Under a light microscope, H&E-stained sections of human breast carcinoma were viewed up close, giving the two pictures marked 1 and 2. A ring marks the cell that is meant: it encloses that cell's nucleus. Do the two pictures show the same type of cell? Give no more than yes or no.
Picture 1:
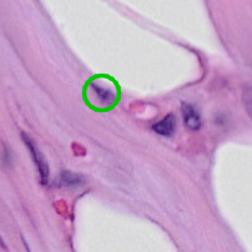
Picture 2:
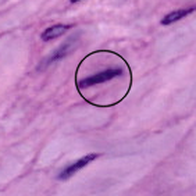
yes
